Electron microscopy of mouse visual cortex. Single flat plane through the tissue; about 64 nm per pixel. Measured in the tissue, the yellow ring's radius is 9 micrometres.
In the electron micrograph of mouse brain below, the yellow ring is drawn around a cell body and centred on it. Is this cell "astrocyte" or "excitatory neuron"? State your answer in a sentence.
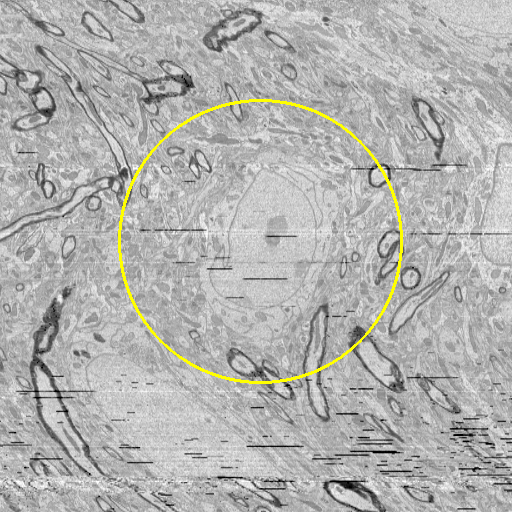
The cell in the middle of the ring is an excitatory neuron.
